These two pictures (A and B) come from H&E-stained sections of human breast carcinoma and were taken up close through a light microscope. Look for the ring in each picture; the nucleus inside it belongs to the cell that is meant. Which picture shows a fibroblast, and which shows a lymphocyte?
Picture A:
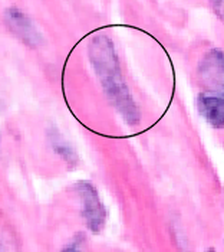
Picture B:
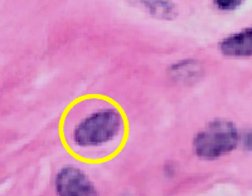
A: fibroblast
B: lymphocyte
